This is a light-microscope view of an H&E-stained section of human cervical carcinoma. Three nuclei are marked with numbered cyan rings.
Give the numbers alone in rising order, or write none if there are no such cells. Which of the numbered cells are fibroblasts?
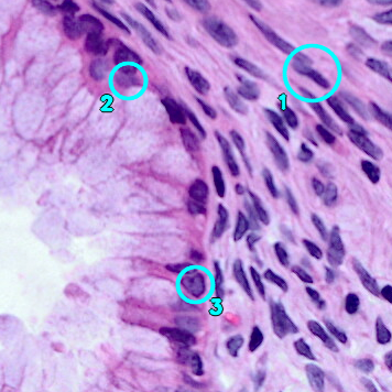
1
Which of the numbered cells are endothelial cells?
none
